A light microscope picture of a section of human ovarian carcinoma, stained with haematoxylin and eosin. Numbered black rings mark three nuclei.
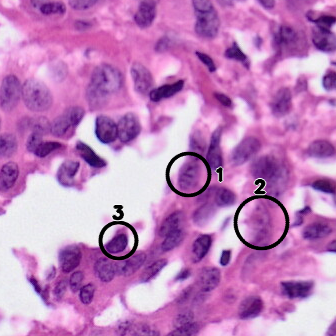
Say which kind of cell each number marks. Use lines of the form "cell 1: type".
cell 1: carcinoma cell
cell 2: endothelial cell
cell 3: carcinoma cell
